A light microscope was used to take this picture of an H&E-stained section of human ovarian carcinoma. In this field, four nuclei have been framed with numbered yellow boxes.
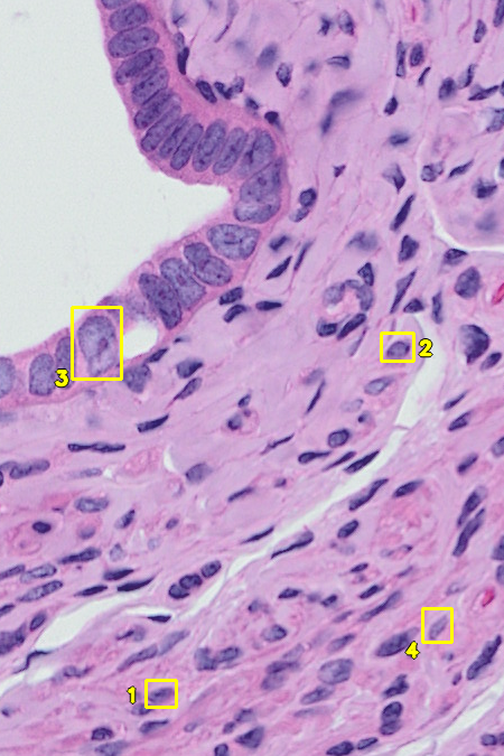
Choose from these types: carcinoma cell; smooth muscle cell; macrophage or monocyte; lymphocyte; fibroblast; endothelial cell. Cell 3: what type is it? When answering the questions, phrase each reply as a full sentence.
The cell marked with number 3 is a carcinoma cell.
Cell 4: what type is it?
The cell with the number 4 is a smooth muscle cell.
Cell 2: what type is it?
The marked nucleus 2 is that of a smooth muscle cell.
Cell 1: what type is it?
Of the numbered cells, the one labelled 1 is a smooth muscle cell.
